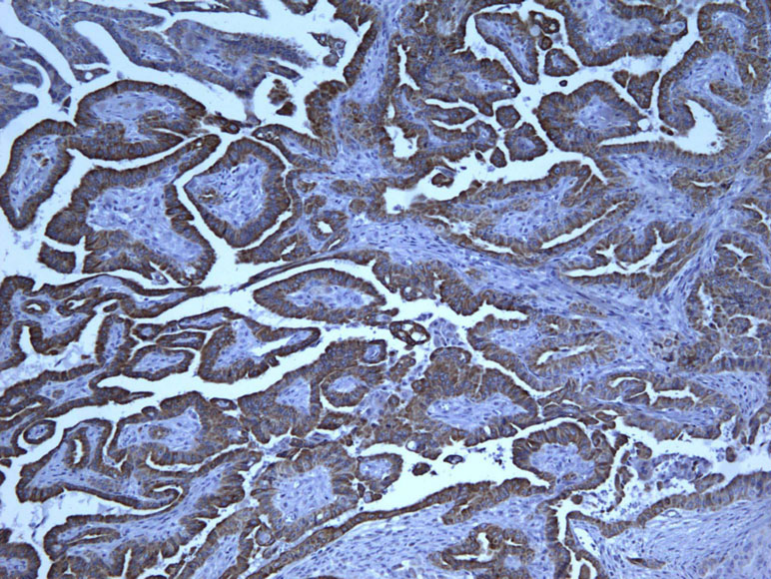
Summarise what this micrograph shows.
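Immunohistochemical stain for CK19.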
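This is a papillary carcinoma of the thyroid, made of branching papillae whose fibrovascular cores of pale blue spindle-cell stroma are covered by crowded columnar to cuboidal tumor cells. Narrow cleft-like spaces separate the papillary fronds.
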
